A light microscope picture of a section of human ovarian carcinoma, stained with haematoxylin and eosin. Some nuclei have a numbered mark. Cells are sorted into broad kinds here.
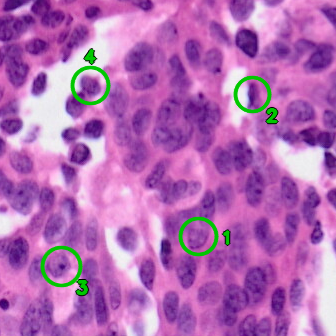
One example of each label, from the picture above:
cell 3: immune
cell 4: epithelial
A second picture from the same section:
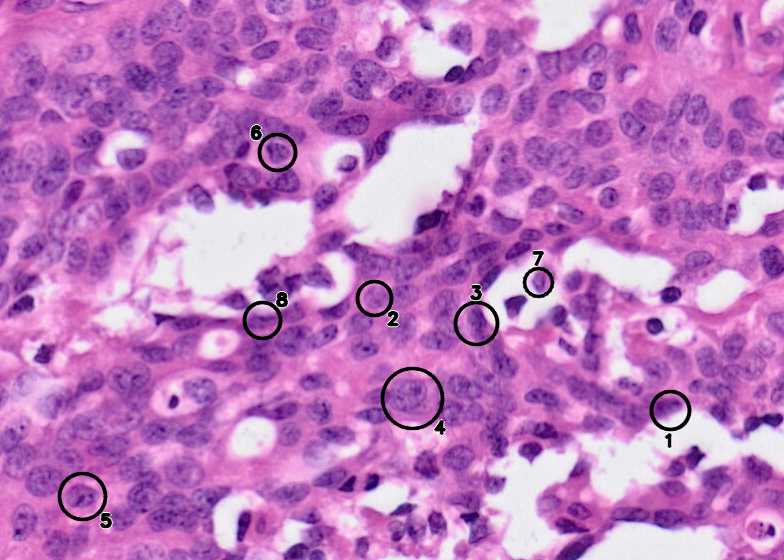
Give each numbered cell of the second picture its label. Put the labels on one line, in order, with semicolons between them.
epithelial; epithelial; epithelial; epithelial; immune; immune; immune; epithelial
